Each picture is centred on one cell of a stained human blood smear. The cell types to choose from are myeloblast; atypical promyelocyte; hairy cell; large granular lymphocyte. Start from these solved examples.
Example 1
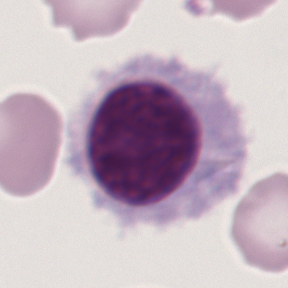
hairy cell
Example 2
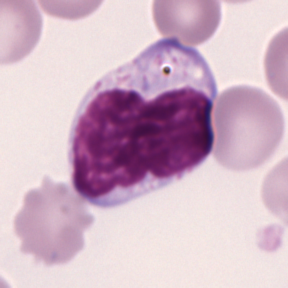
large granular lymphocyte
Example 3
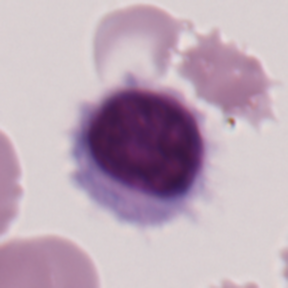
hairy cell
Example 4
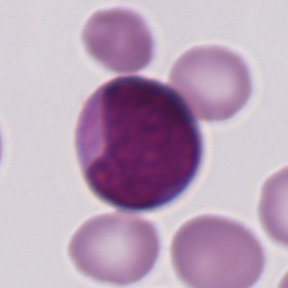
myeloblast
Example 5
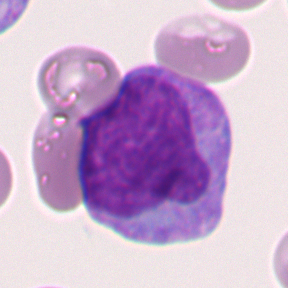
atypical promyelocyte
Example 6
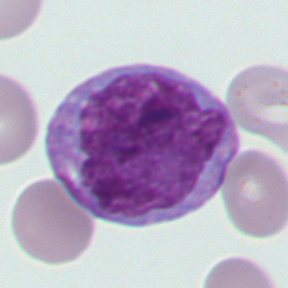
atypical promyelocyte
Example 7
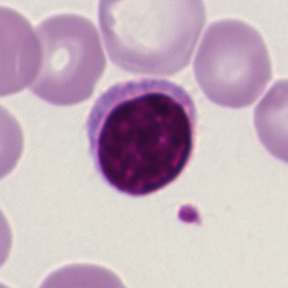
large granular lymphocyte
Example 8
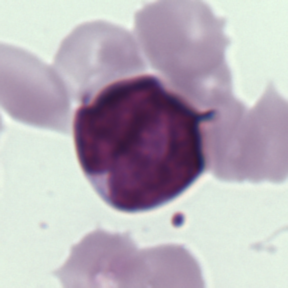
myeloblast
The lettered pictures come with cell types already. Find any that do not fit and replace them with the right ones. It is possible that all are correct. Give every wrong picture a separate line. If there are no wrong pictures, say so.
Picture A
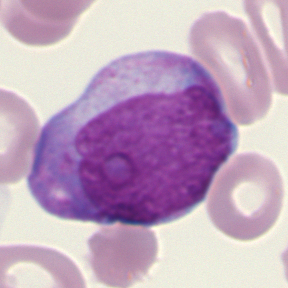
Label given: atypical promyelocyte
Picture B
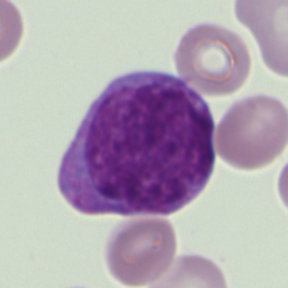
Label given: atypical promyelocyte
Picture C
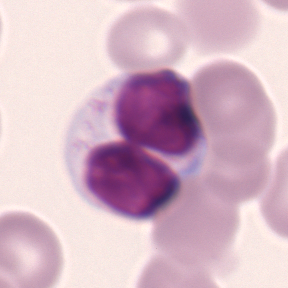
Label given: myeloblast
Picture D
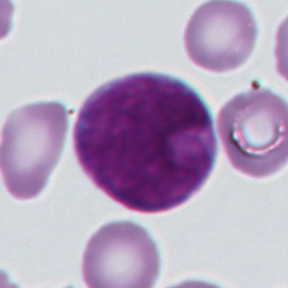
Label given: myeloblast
C is labelled myeloblast; correct label: large granular lymphocyte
